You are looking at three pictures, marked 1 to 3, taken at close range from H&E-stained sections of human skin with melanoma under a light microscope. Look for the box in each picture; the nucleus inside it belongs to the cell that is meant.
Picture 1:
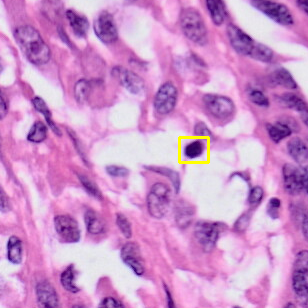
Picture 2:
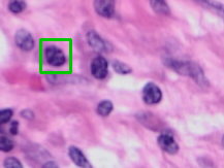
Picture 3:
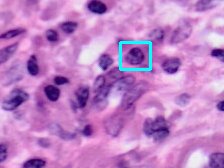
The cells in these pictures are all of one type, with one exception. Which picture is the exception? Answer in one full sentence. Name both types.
The different one is picture 1; it shows a lymphocyte, whereas all the others show plasma cells.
